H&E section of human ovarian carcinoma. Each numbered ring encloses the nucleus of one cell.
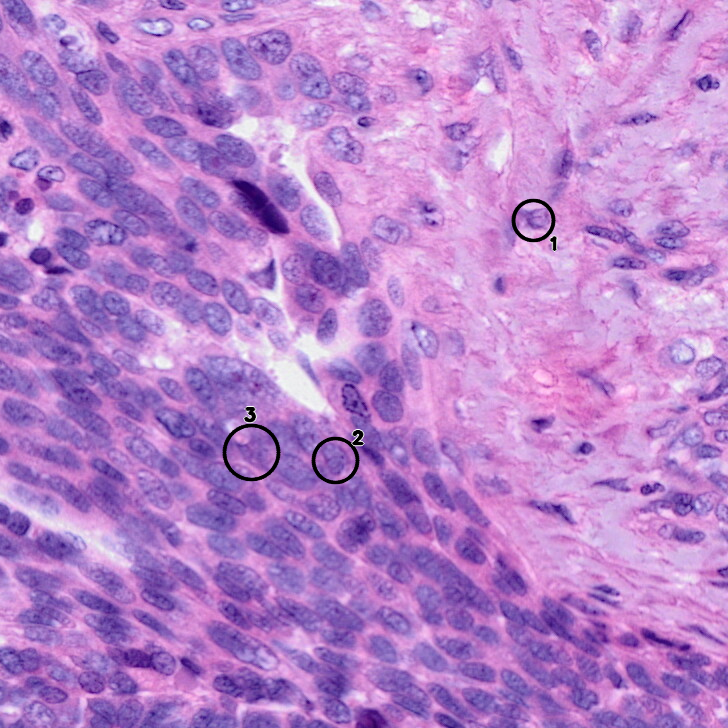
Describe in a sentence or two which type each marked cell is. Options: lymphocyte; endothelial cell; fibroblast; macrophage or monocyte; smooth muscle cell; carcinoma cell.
Cell 1 is a fibroblast. Cells 2 and 3 are carcinoma cells.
